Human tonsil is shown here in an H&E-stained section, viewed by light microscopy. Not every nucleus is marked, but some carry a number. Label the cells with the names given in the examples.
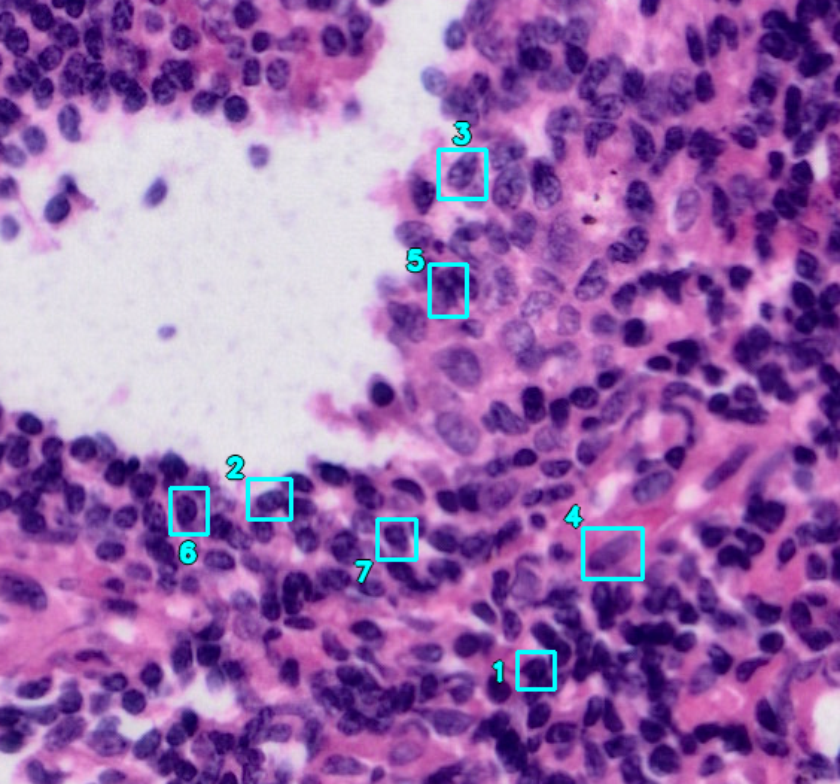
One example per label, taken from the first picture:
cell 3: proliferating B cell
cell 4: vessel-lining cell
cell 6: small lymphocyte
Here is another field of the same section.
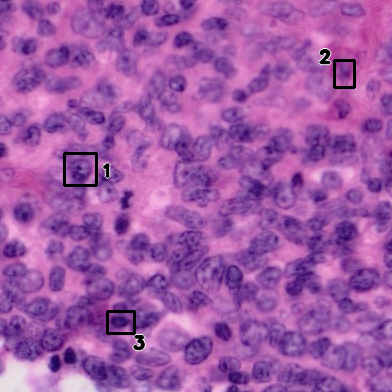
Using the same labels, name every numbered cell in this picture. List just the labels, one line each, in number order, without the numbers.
proliferating B cell
vessel-lining cell
proliferating B cell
